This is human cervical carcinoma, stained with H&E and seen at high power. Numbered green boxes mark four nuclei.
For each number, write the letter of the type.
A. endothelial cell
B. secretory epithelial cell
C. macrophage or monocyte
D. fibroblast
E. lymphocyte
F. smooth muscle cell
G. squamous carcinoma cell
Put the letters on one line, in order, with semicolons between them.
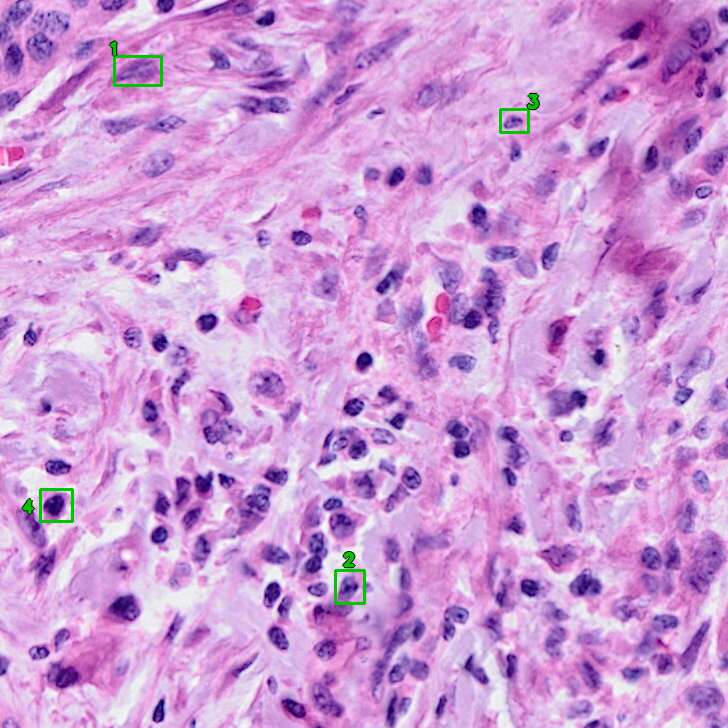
D; E; E; E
